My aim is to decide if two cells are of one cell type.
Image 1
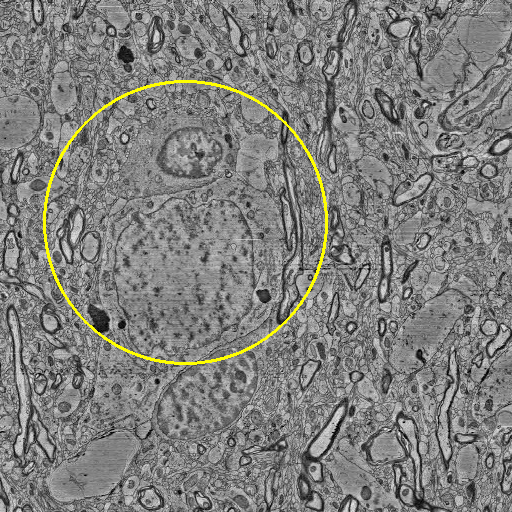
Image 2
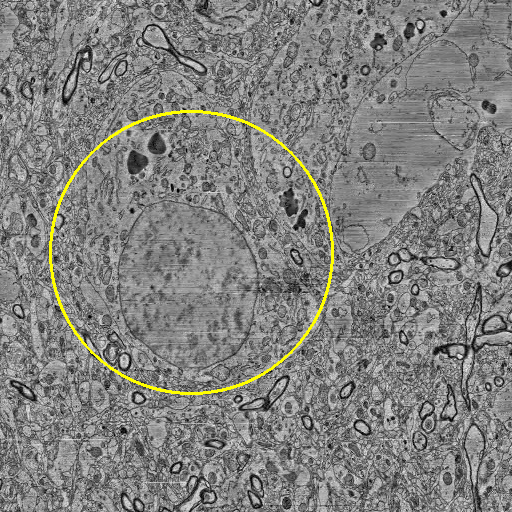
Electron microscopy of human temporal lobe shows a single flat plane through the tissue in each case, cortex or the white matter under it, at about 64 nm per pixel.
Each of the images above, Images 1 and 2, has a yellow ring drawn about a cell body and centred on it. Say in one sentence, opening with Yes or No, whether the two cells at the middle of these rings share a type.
Yes, in Images 1 and 2 the cells at the middle of the rings share one type.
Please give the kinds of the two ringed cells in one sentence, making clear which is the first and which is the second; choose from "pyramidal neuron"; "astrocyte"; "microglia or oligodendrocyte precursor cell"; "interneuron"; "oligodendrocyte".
Each of the two rings is centred on an interneuron.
